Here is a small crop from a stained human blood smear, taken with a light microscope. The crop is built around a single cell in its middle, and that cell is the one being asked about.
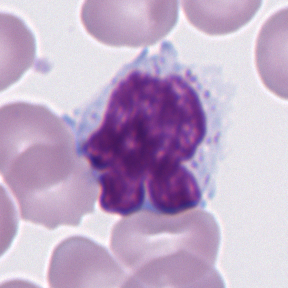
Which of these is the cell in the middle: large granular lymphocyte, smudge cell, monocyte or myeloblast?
large granular lymphocyte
